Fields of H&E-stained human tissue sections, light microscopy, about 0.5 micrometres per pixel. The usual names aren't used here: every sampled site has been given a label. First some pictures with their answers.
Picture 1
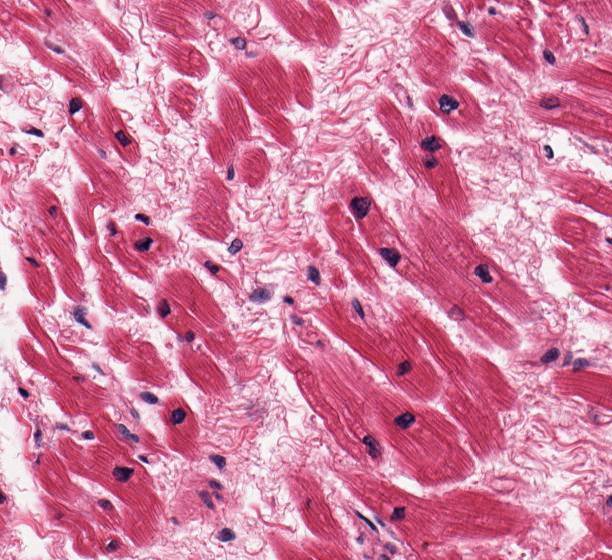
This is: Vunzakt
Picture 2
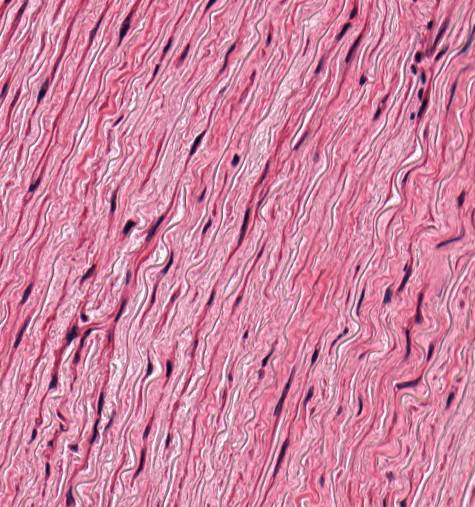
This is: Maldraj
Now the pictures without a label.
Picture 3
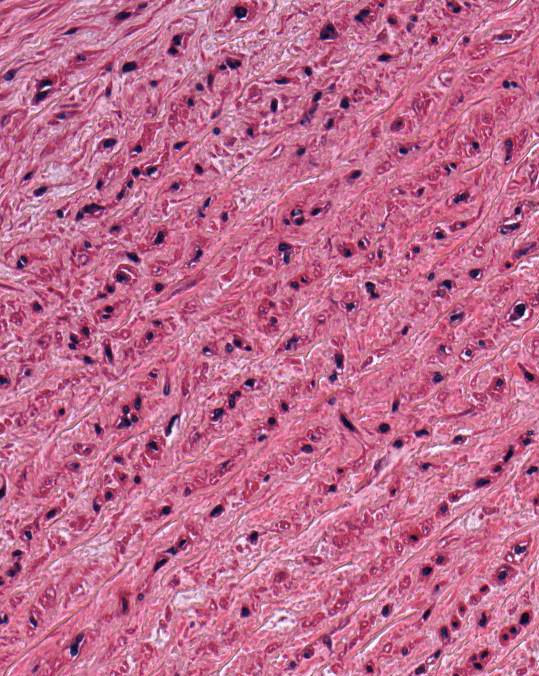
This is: Maldraj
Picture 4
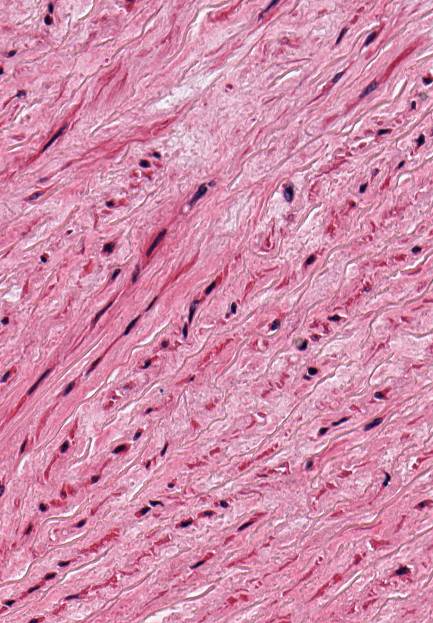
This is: Maldraj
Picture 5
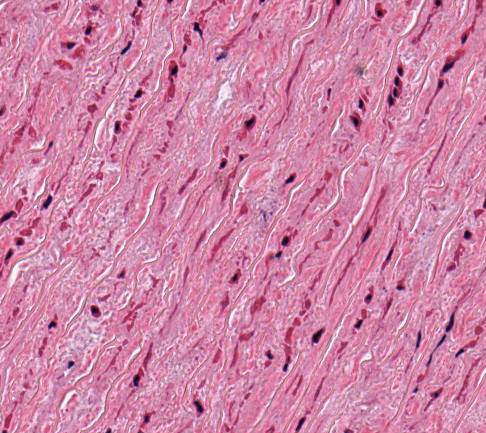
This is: Maldraj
